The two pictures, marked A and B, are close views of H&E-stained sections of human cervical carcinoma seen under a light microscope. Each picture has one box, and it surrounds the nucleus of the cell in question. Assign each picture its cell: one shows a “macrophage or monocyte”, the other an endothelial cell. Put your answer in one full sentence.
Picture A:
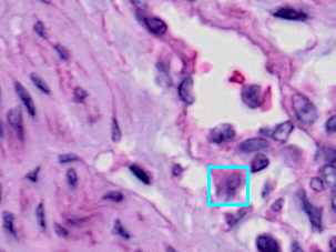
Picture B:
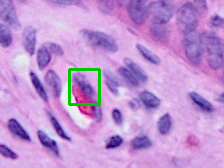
In picture A the cell is a “macrophage or monocyte”; in picture B, an endothelial cell.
